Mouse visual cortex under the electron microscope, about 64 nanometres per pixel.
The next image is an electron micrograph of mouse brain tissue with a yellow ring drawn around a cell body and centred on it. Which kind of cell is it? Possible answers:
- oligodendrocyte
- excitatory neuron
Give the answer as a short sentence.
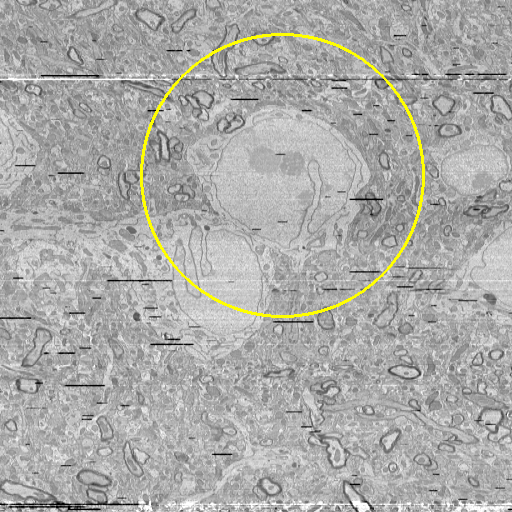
In the ring's centre is an excitatory neuron.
